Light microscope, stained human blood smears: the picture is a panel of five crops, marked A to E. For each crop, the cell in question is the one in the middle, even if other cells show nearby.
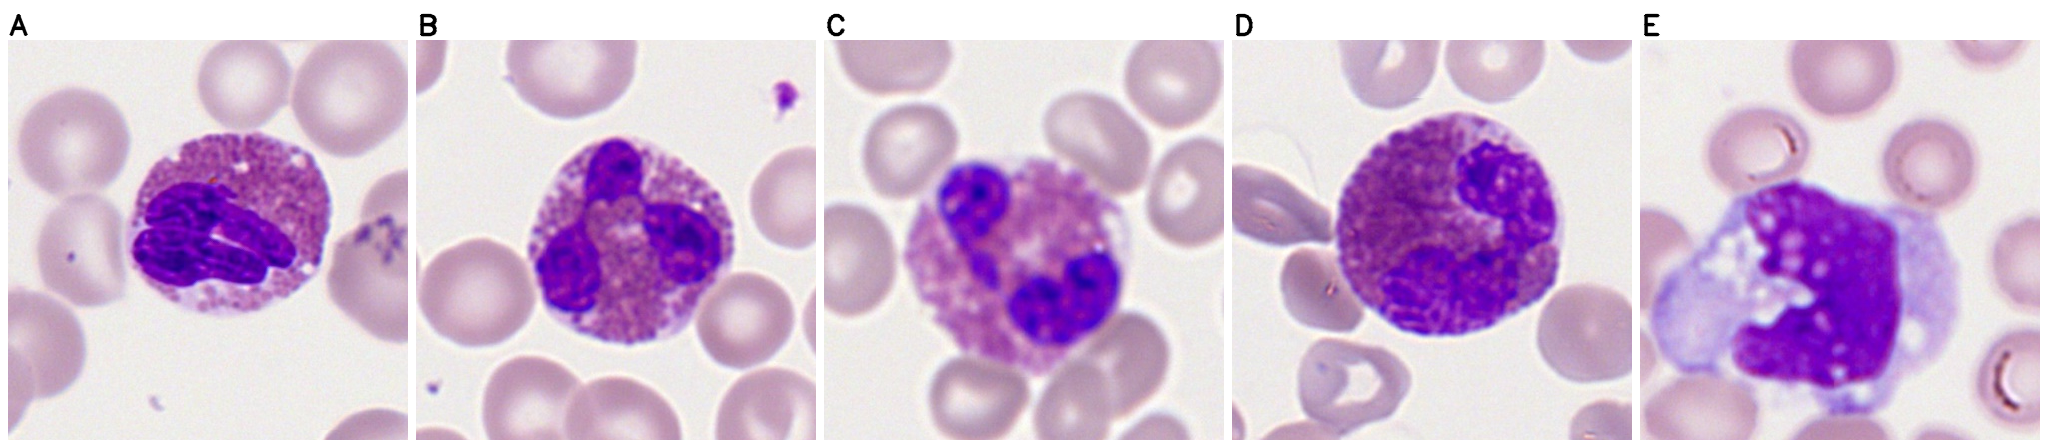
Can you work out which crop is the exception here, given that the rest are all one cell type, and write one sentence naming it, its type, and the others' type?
All the crops show eosinophils, barring crop E, which is a monocyte.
